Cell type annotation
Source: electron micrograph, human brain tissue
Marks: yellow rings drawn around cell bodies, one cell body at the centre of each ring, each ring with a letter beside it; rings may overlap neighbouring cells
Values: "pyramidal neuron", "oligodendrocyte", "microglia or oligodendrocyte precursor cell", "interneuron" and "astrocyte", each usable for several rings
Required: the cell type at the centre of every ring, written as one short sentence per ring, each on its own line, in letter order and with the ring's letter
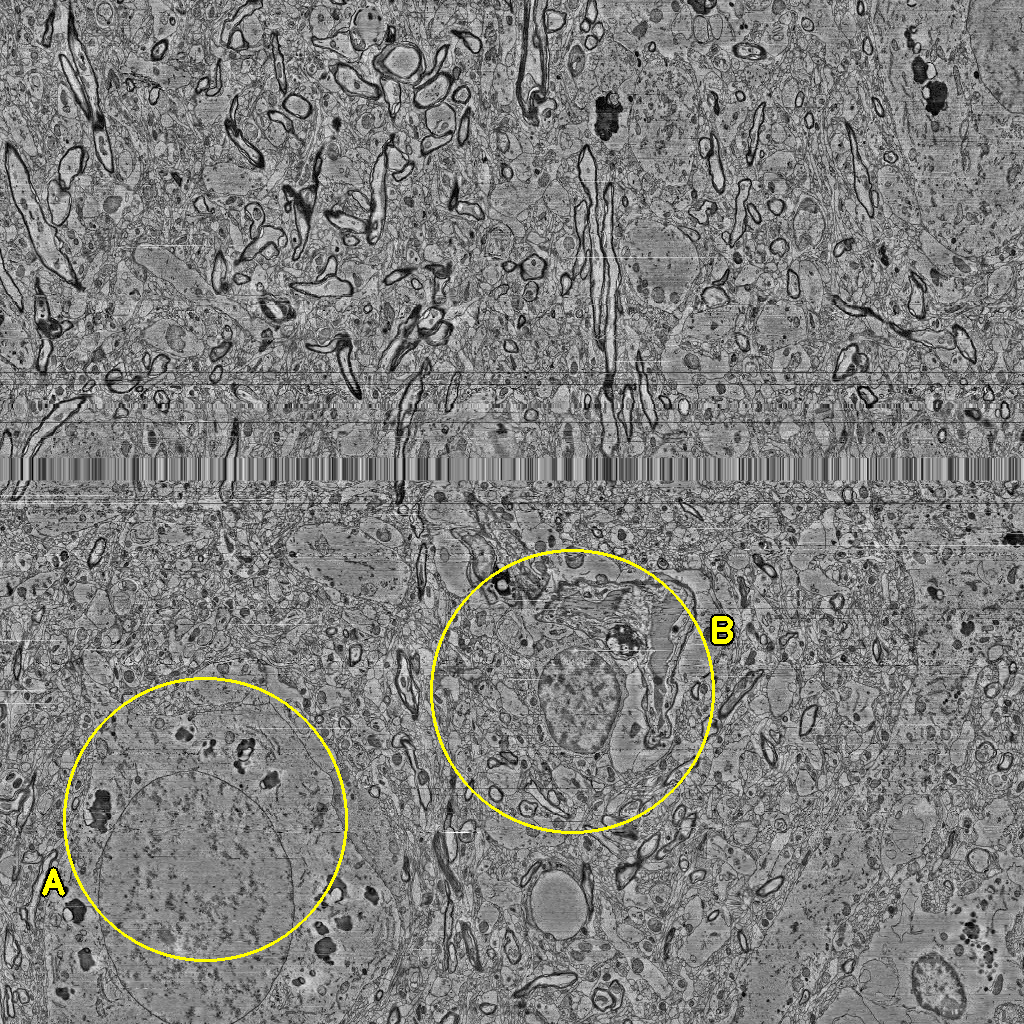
Ring A is annotated as a pyramidal neuron.
Ring B is annotated as an oligodendrocyte.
